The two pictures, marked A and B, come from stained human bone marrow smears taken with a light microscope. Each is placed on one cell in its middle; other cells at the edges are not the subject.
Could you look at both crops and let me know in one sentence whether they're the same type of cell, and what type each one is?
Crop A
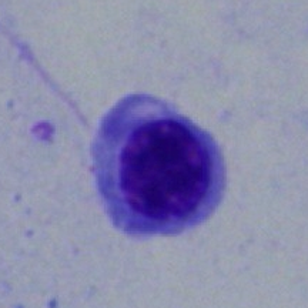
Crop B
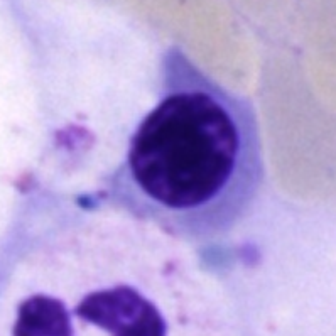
Yes, the cells found in the middle of both crops are erythroblasts.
